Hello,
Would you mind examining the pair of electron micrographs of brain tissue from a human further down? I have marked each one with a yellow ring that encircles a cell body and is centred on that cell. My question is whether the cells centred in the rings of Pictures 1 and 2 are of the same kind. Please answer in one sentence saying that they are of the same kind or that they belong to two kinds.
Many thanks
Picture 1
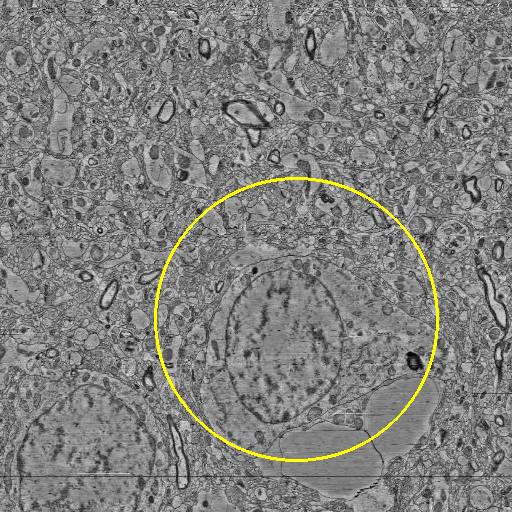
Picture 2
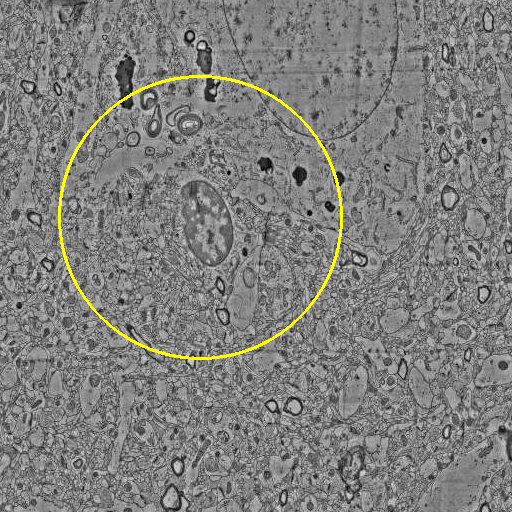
In Pictures 1 and 2, the cells at the heart of the rings belong to two kinds.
